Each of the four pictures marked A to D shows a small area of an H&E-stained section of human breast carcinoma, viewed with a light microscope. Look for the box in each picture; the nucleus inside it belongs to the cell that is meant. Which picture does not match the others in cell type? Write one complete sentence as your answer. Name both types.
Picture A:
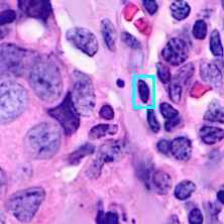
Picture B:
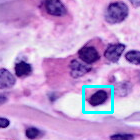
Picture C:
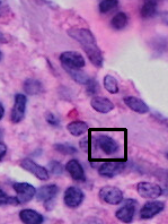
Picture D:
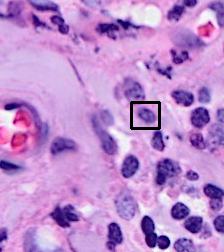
Picture D differs, because its cell is a mast cell and the rest are lymphocytes.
